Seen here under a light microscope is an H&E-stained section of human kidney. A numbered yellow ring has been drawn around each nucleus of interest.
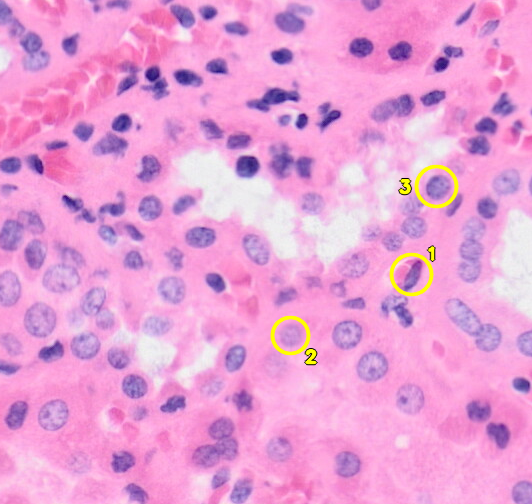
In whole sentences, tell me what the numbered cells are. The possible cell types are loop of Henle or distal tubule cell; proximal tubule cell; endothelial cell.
Cell 1 is an endothelial cell, cell 2 is a proximal tubule cell and cell 3 is a loop of Henle or distal tubule cell.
